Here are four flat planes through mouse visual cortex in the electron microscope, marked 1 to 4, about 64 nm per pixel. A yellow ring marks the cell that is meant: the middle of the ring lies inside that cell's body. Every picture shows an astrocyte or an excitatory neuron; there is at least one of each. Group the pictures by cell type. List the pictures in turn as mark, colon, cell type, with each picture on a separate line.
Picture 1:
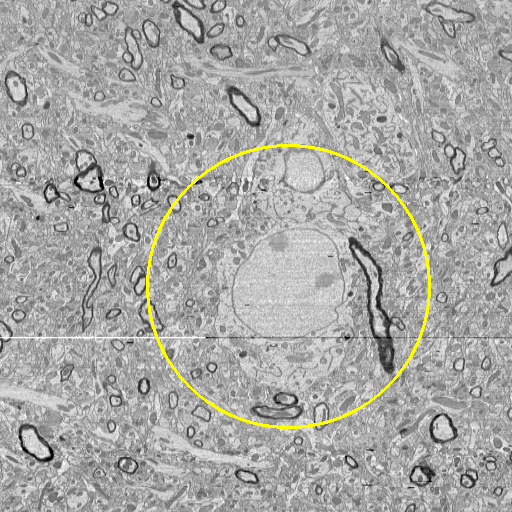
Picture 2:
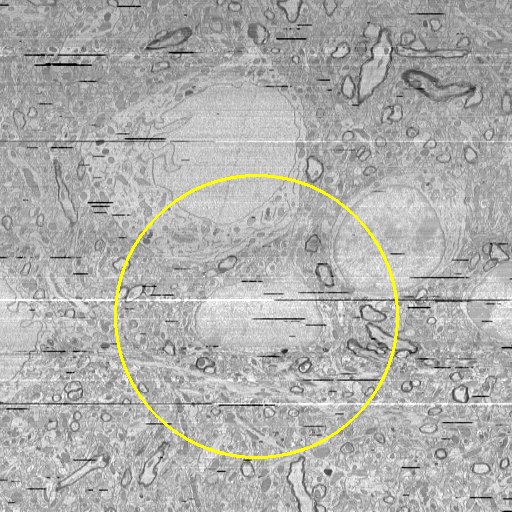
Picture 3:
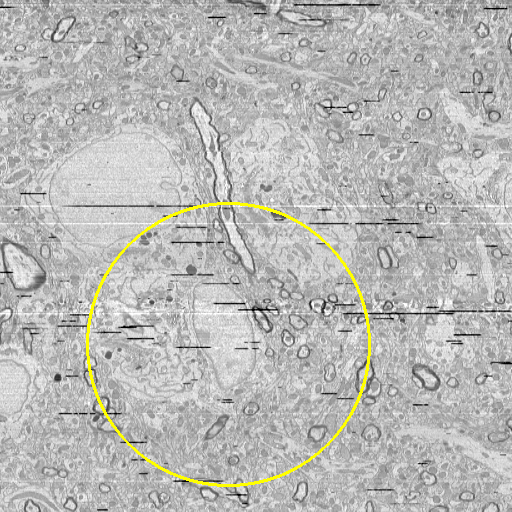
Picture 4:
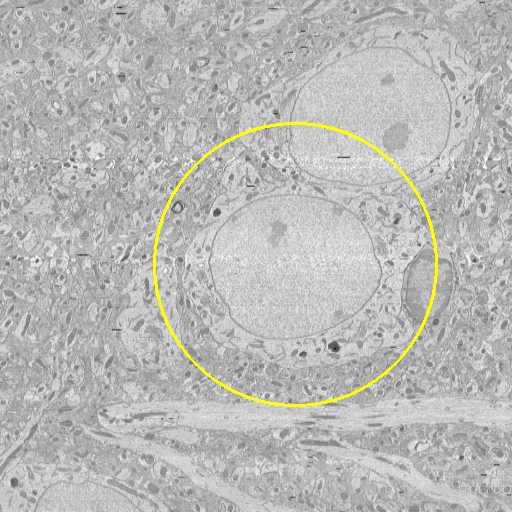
1: excitatory neuron
2: astrocyte
3: astrocyte
4: excitatory neuron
